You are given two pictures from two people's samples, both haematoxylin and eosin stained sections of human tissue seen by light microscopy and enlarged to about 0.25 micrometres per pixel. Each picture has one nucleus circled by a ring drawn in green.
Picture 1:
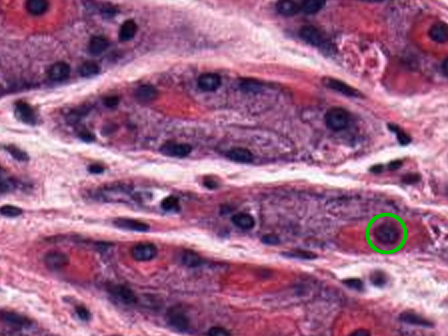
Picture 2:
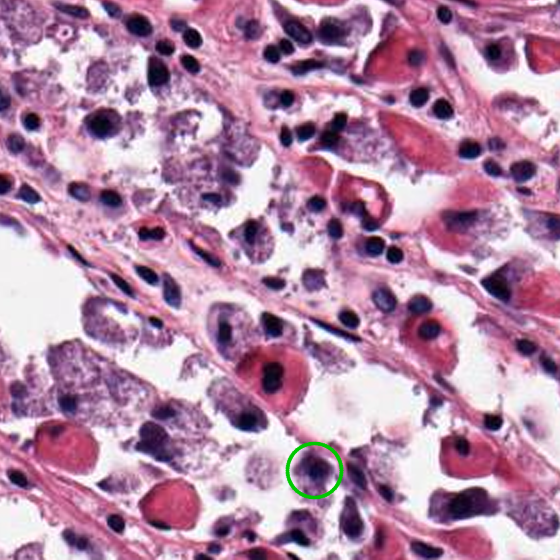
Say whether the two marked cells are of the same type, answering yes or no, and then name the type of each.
No, the first is a parietal cell and the second a chief cell.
